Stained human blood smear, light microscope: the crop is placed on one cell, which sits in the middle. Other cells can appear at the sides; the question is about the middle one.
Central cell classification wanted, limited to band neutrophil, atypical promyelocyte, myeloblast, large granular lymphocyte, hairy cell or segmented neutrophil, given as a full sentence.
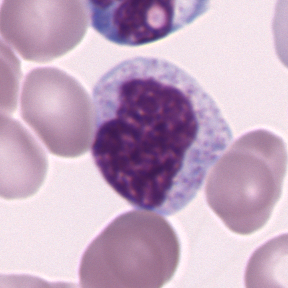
Of the cells in this crop, the central one is a band neutrophil.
